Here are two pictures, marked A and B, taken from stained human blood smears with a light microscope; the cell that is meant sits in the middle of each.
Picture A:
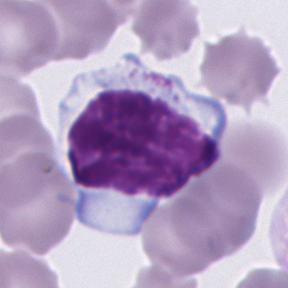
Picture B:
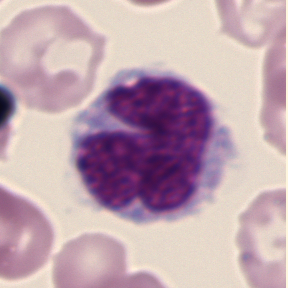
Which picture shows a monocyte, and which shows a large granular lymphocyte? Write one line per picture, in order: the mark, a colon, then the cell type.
A: large granular lymphocyte
B: monocyte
